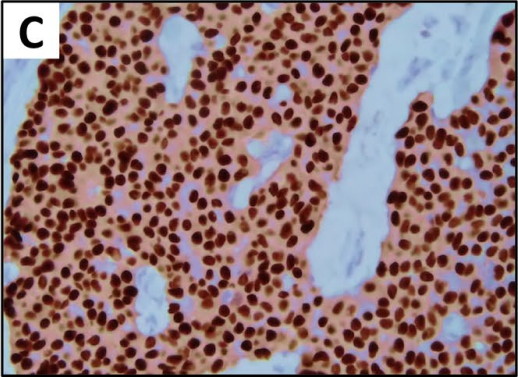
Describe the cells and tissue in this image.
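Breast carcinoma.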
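Crowded tumor cells form solid nests separated by pale bluish bands of stroma. Nearly every nucleus in the nests is stained dark brown, while the cytoplasm around it stays pale. The nuclei are round to oval and closely packed.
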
